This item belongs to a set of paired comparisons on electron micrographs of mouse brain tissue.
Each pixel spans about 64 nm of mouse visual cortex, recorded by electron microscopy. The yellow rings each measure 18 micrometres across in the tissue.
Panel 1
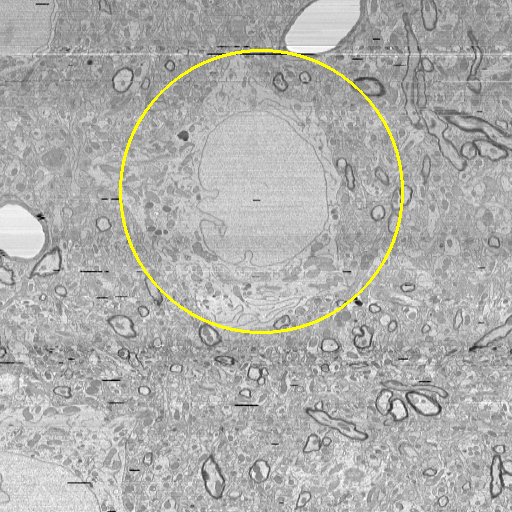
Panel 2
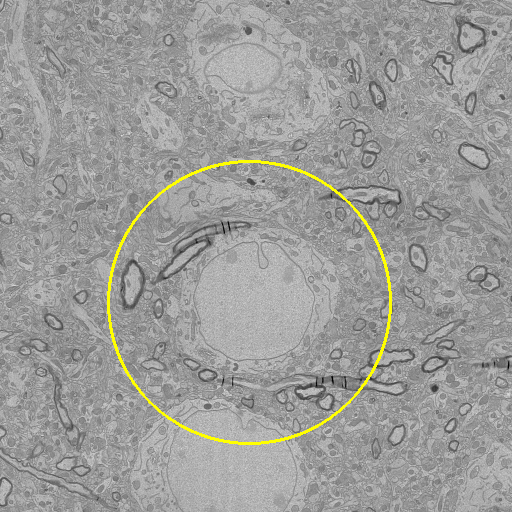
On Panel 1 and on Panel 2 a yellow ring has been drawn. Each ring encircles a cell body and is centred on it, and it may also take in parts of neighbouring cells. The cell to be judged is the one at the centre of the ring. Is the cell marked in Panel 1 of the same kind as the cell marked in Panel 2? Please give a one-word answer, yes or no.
yes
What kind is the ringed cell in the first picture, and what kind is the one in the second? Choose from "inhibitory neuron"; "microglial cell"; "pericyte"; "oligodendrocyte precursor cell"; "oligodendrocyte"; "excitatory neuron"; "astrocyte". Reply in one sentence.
Each of the two cells is an excitatory neuron.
